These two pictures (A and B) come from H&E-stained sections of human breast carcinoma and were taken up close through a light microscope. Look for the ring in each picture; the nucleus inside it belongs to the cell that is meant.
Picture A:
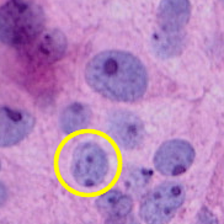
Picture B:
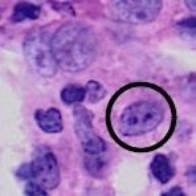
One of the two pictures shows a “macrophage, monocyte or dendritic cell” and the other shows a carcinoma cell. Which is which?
A: carcinoma cell
B: macrophage, monocyte or dendritic cell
